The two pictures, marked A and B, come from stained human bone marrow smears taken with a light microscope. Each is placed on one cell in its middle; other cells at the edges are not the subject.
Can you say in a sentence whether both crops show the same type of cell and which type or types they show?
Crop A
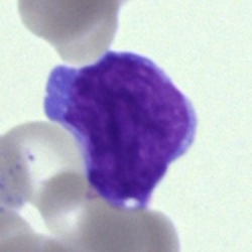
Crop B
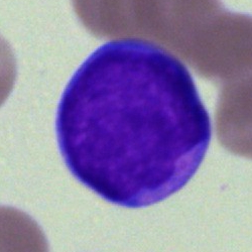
Yes, both crops show blasts in the centre of the field.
